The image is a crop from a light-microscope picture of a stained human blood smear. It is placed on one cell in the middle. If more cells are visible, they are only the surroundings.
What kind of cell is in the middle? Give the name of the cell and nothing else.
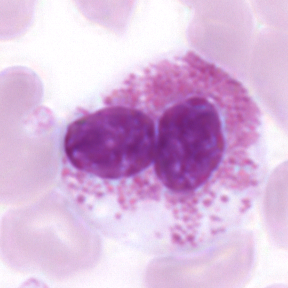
eosinophil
